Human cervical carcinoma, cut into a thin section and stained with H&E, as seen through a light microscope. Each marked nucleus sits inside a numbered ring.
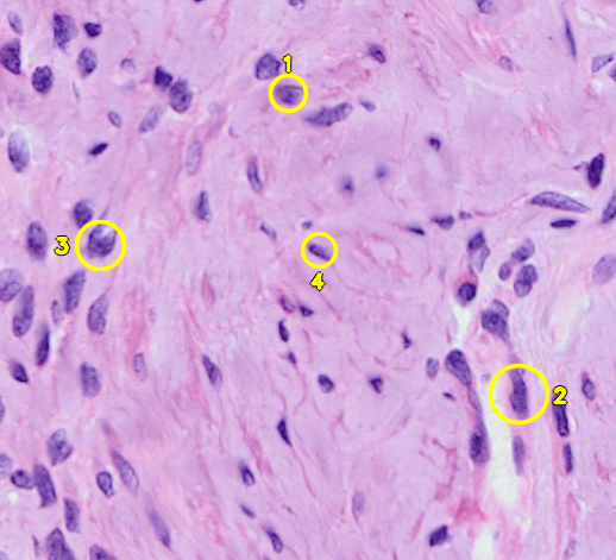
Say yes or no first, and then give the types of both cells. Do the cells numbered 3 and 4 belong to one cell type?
Yes, along with cell 3, cell 4 is also among the fibroblasts.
